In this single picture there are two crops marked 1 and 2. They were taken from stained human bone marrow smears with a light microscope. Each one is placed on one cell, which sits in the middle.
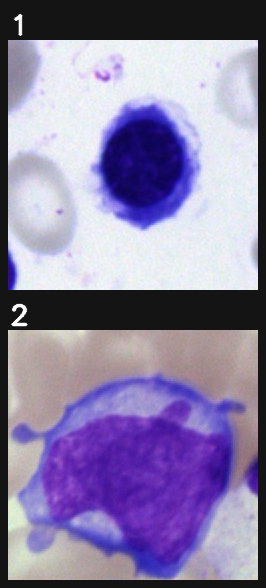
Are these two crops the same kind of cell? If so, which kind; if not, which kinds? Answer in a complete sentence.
No, crop 1 features an erythroblast, while crop 2 features a blast.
